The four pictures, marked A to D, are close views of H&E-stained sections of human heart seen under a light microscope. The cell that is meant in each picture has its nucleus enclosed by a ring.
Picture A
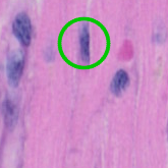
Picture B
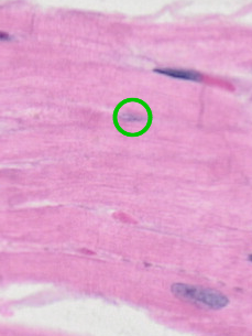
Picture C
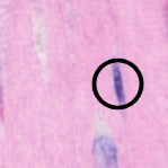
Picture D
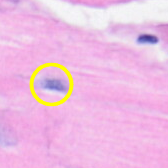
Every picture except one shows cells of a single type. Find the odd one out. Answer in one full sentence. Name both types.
All pictures except B show endothelial cells; picture B shows a cardiomyocyte.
